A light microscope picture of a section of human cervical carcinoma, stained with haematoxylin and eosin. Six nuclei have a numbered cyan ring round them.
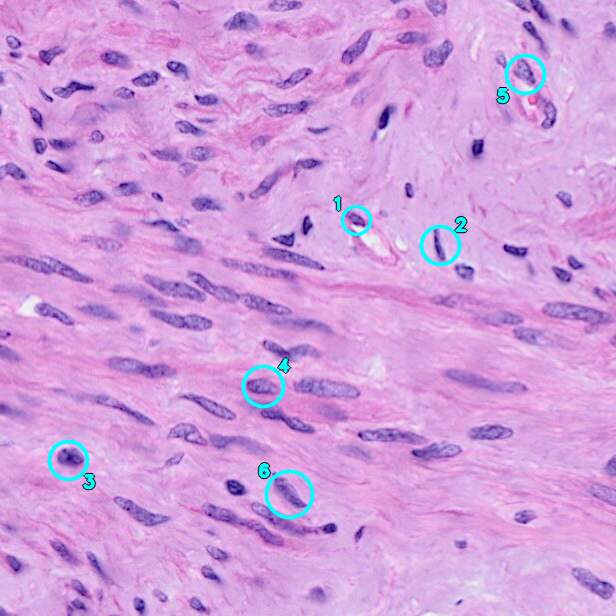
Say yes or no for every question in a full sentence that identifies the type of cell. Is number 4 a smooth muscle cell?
Yes, the cell whose nucleus carries number 4 is a smooth muscle cell.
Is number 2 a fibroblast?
Yes, the numbered cell 2 is a fibroblast.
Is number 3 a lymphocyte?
Yes, so the cell at label 3 is a lymphocyte.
